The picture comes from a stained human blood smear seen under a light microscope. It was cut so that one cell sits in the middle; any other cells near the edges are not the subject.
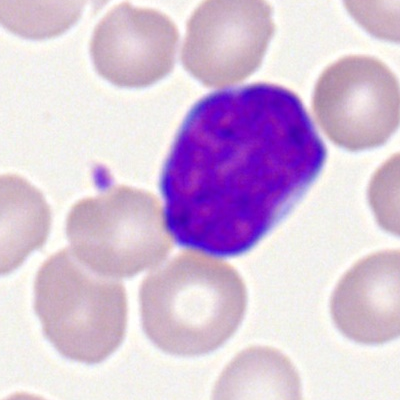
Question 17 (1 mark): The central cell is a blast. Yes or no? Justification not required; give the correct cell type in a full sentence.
Yes, the cell at the center of the crop is a blast.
